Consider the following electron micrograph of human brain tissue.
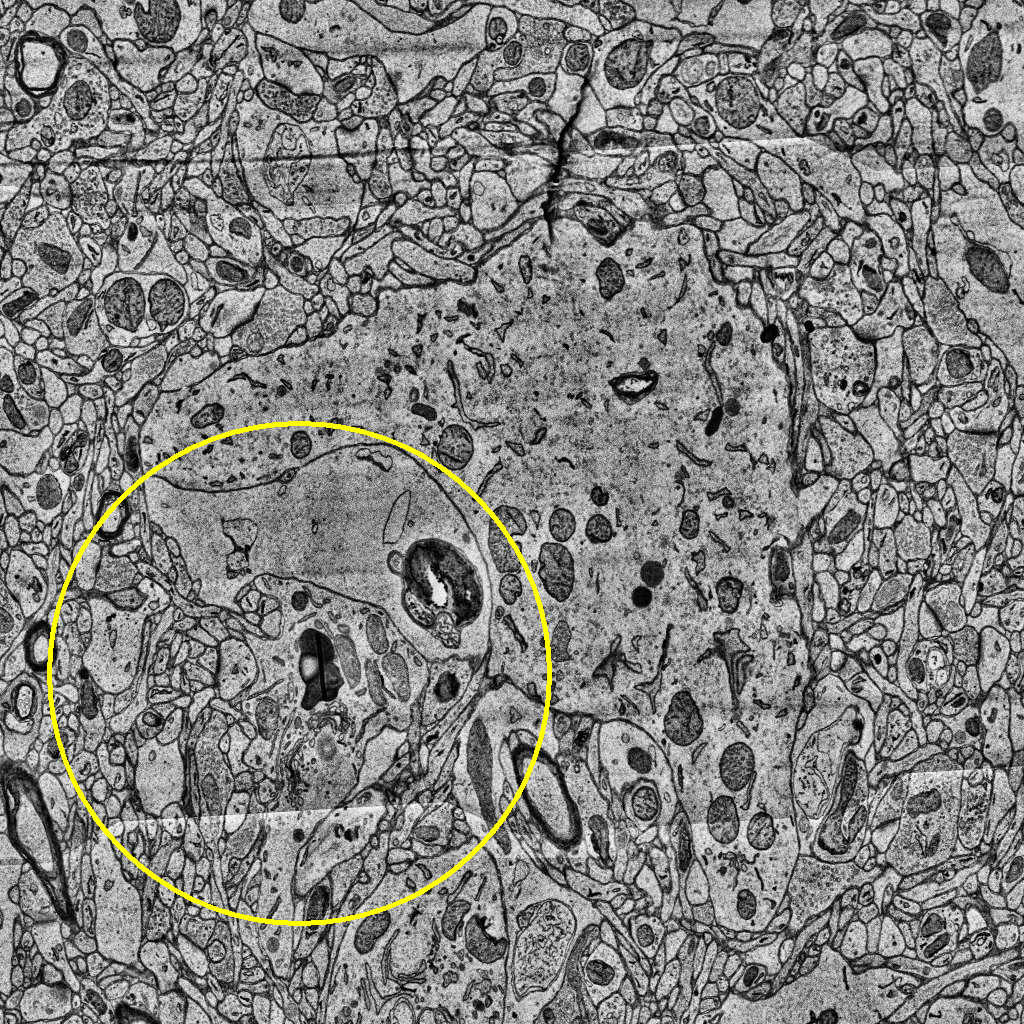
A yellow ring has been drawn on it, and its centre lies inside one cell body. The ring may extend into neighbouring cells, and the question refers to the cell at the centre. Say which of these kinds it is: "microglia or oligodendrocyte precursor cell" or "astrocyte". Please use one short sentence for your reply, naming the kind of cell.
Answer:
The centre of the ring falls on a microglial cell or oligodendrocyte precursor cell.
